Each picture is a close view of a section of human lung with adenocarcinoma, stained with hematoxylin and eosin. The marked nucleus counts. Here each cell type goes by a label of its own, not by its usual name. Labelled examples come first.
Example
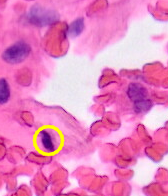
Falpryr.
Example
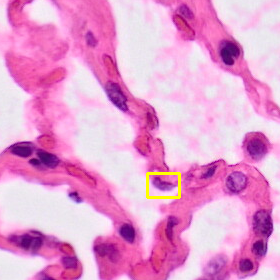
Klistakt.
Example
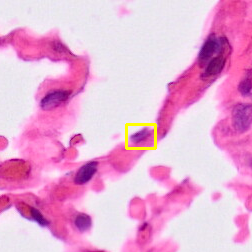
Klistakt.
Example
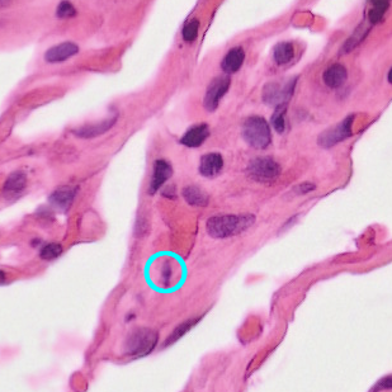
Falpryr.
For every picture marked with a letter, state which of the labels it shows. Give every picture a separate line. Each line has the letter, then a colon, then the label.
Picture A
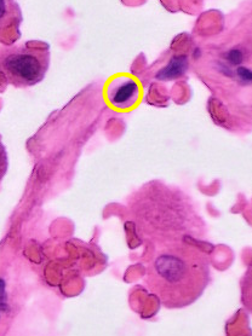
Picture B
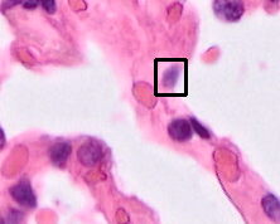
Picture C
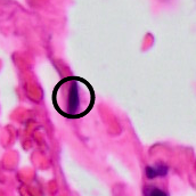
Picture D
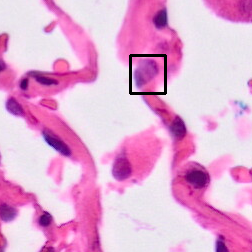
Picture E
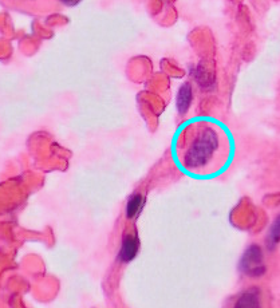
A: Falpryr.
B: Klistakt.
C: Falpryr.
D: Klistakt.
E: Klistakt.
